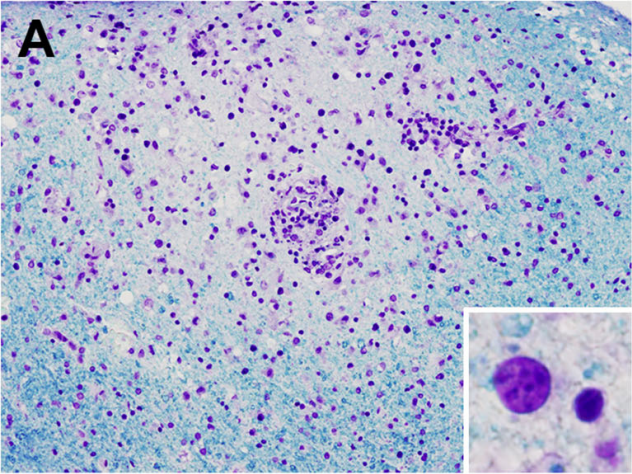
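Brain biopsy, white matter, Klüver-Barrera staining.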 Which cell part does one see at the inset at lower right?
Oligodendroglial enlarged nuclei.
